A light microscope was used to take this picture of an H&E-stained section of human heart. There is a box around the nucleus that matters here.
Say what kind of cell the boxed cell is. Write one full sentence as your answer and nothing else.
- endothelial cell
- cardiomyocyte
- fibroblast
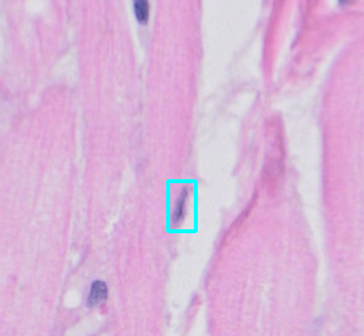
Speaking plainly, the boxed cell is nothing other than a fibroblast.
